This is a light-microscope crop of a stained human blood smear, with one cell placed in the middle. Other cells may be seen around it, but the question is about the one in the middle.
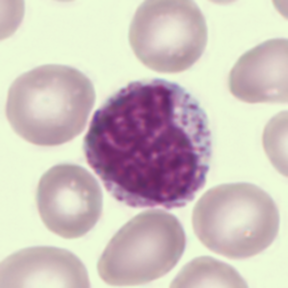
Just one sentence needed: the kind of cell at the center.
The central cell in this smear crop is a metamyelocyte.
